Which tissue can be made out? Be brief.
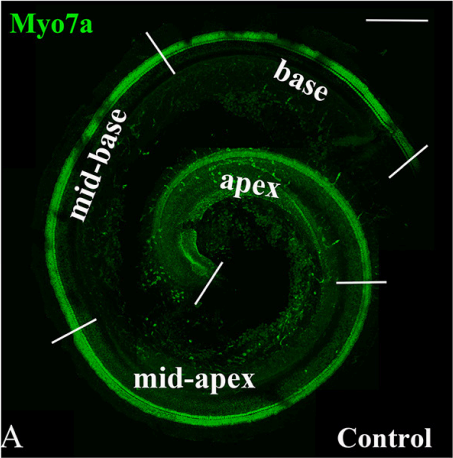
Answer: Organ of Corti.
